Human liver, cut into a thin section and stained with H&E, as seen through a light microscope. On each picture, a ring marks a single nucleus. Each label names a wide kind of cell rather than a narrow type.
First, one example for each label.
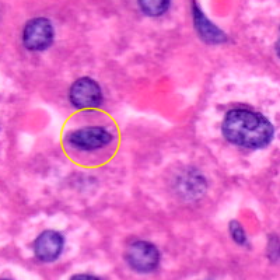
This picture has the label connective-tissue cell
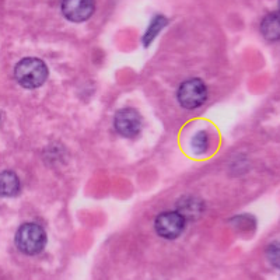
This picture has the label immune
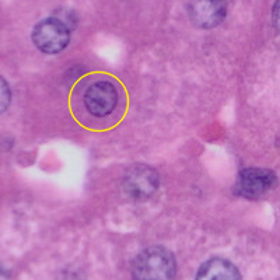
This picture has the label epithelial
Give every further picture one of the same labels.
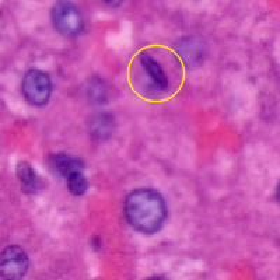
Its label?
connective-tissue cell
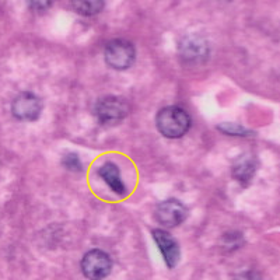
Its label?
immune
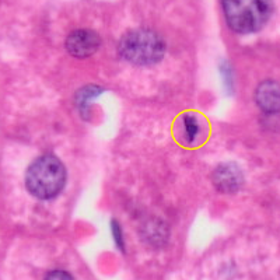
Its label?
connective-tissue cell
